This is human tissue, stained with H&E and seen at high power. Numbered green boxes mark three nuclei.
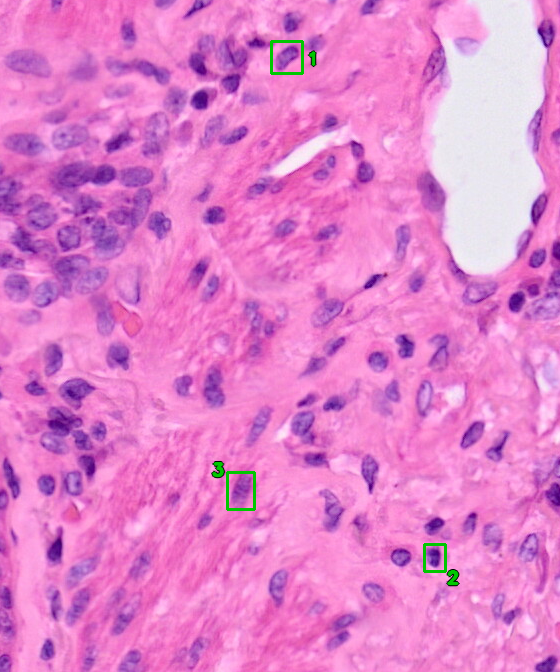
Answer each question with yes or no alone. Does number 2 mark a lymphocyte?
yes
